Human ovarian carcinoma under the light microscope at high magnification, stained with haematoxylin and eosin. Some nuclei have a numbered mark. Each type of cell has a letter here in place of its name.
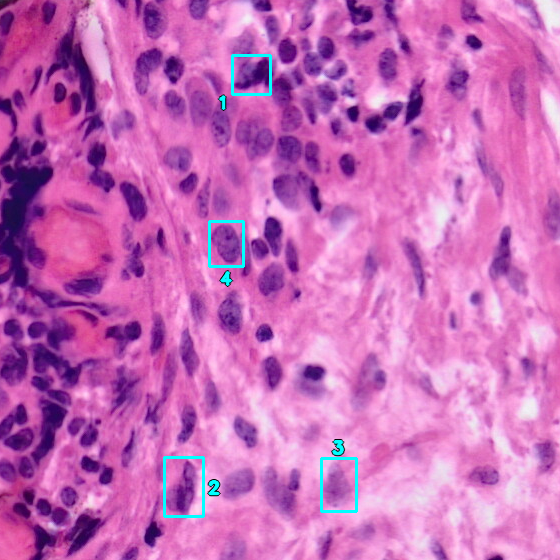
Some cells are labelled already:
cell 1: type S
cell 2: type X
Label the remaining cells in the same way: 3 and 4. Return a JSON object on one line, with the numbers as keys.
{"3": "type X", "4": "type S"}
